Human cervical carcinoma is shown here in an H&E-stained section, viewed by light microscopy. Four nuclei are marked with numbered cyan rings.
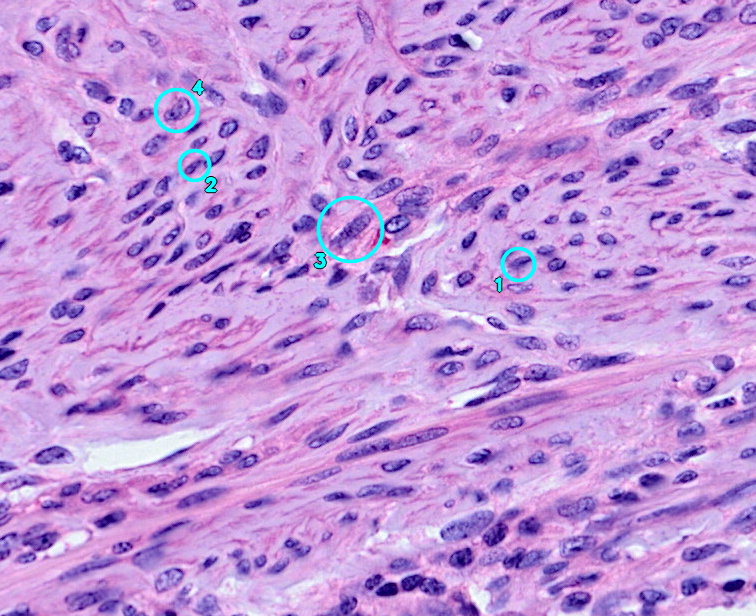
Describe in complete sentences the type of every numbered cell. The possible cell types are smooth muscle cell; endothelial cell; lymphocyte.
Cell 1 is a smooth muscle cell, cell 2 is a smooth muscle cell, cell 3 is an endothelial cell and cell 4 is a smooth muscle cell.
